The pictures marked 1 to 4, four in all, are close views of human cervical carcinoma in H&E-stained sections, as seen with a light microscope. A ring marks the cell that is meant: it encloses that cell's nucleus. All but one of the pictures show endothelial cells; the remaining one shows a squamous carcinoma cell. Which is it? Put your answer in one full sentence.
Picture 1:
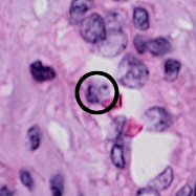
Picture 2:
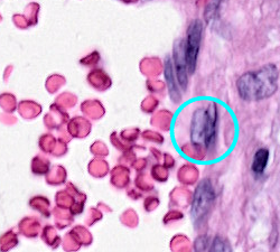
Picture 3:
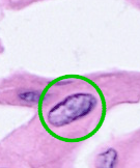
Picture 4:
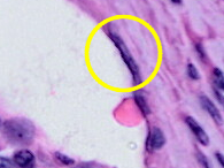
Picture 3 shows the squamous carcinoma cell.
